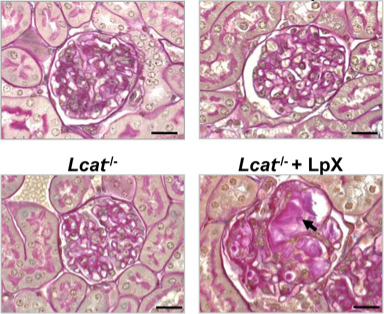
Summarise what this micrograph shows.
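These are four glomeruli of the renal cortex in a periodic acid–Schiff stain, each surrounded by tubules lined by cuboidal epithelial cells with a pink brush border. In three of them the tuft shows open capillary loops with thin magenta walls and scattered small dark nuclei, sitting inside a clear Bowman's space. The tuft at the lower right is unlike the others: large masses of bright, homogeneous magenta material fill and distend the capillary loops, and a black arrow marks one of them. Around these deposits the tuft looks crowded and its lobules are widened by more magenta matrix.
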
